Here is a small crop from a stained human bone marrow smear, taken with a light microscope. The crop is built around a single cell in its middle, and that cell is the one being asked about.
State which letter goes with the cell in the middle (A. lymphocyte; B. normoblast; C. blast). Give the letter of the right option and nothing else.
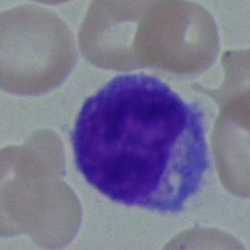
C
